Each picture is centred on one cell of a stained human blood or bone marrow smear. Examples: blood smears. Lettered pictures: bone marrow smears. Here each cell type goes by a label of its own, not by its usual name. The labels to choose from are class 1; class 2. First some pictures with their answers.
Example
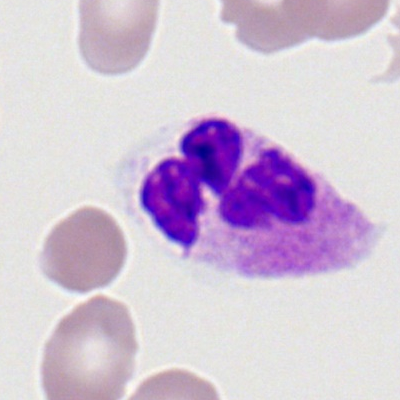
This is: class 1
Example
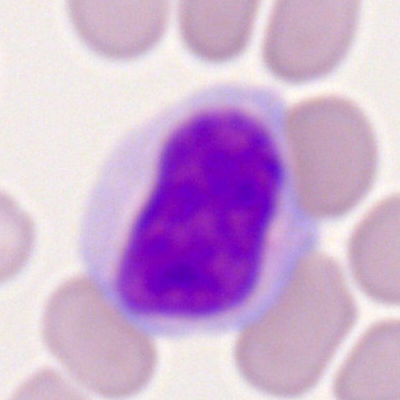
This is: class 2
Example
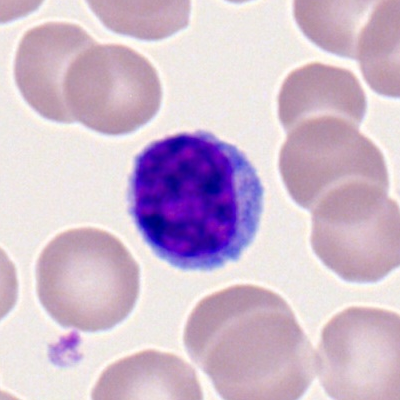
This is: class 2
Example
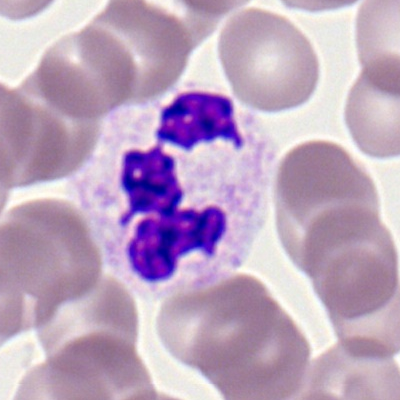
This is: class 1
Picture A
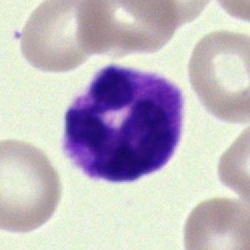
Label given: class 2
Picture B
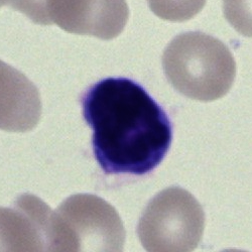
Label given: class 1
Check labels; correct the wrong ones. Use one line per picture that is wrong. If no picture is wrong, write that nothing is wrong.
A is labelled class 2; correct label: class 1
B is labelled class 1; correct label: class 2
